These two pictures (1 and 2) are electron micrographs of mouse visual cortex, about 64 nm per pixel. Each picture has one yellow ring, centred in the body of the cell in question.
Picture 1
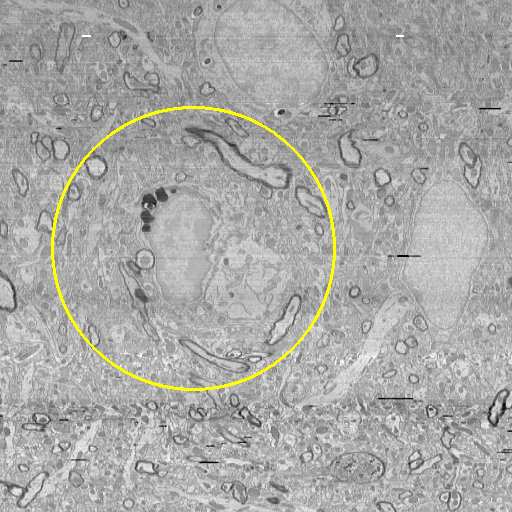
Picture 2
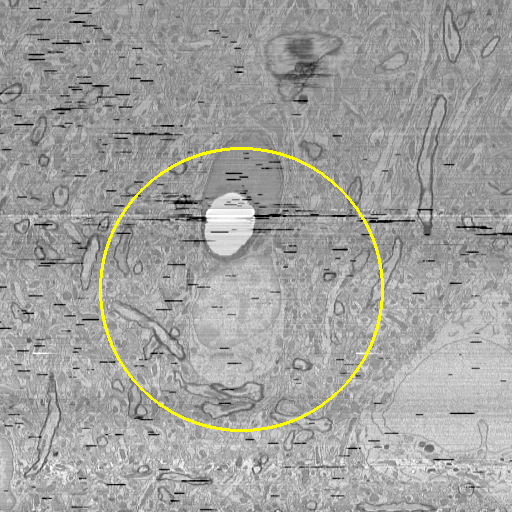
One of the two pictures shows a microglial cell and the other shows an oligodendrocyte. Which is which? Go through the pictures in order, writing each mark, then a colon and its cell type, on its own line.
1: microglial cell
2: oligodendrocyte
